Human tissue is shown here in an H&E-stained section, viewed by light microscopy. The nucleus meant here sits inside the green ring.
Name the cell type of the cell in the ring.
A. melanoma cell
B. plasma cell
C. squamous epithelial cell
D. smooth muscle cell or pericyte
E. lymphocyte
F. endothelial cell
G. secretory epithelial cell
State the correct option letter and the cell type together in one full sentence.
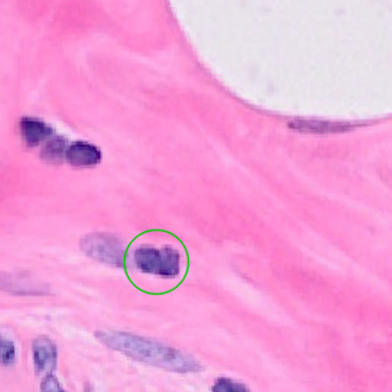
Option E holds, since the cell in the ring is a lymphocyte.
